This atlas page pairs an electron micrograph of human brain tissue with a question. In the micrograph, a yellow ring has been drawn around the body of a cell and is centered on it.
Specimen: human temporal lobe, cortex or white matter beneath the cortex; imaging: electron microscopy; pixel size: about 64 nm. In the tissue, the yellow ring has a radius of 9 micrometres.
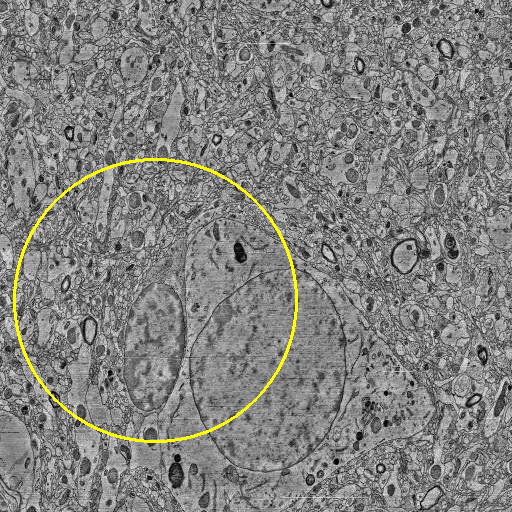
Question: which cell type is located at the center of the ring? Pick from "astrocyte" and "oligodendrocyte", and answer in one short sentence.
Located at the center of the ring is an oligodendrocyte.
